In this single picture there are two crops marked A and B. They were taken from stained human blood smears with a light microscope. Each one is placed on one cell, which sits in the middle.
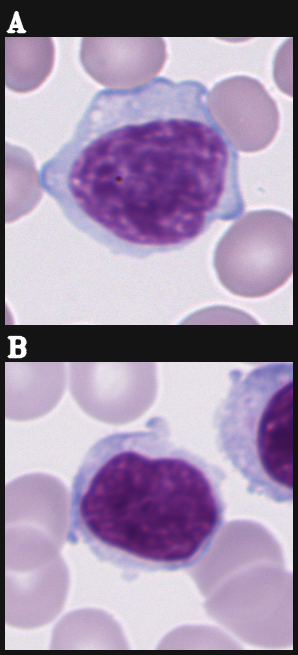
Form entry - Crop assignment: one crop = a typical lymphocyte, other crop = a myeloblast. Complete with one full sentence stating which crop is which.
Crop A holds a myeloblast; crop B holds a typical lymphocyte.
